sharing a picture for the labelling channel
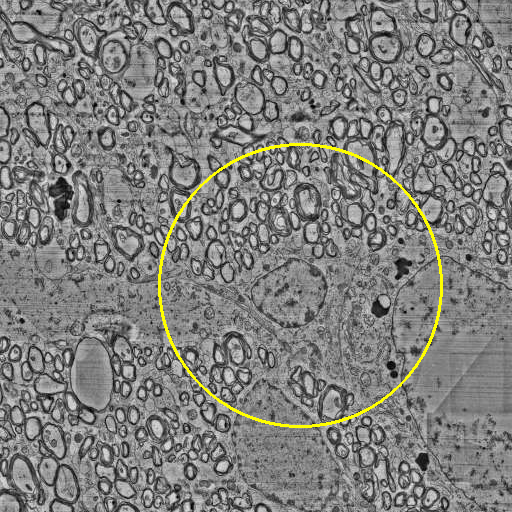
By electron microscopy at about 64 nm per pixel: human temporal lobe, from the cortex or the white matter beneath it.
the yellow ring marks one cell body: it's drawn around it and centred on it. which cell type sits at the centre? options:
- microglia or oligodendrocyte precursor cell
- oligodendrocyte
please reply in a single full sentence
In the picture, the cell at the ring's centre is a microglial cell or oligodendrocyte precursor cell, going by the list.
